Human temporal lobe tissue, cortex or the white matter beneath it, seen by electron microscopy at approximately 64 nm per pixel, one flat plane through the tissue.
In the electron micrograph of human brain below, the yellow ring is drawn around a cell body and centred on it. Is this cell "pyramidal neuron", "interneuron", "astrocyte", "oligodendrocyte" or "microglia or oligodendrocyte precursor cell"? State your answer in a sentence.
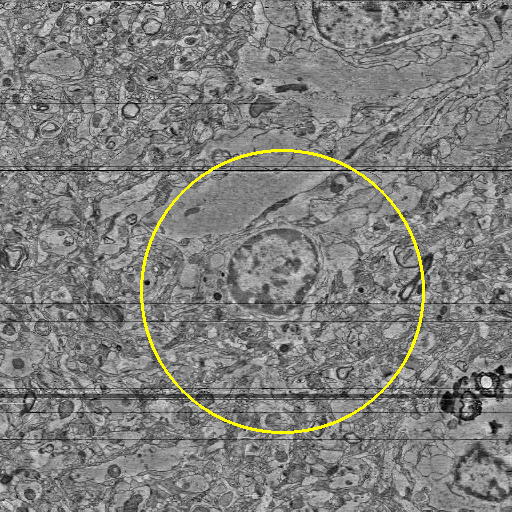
The cell in the middle of the ring is a microglial cell or oligodendrocyte precursor cell.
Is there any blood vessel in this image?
Yes, a vessel appears in the picture.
